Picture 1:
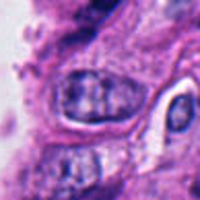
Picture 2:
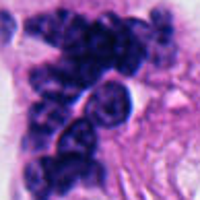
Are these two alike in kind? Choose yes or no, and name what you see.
No. First a cytotrophoblast, second a syncytial knot.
